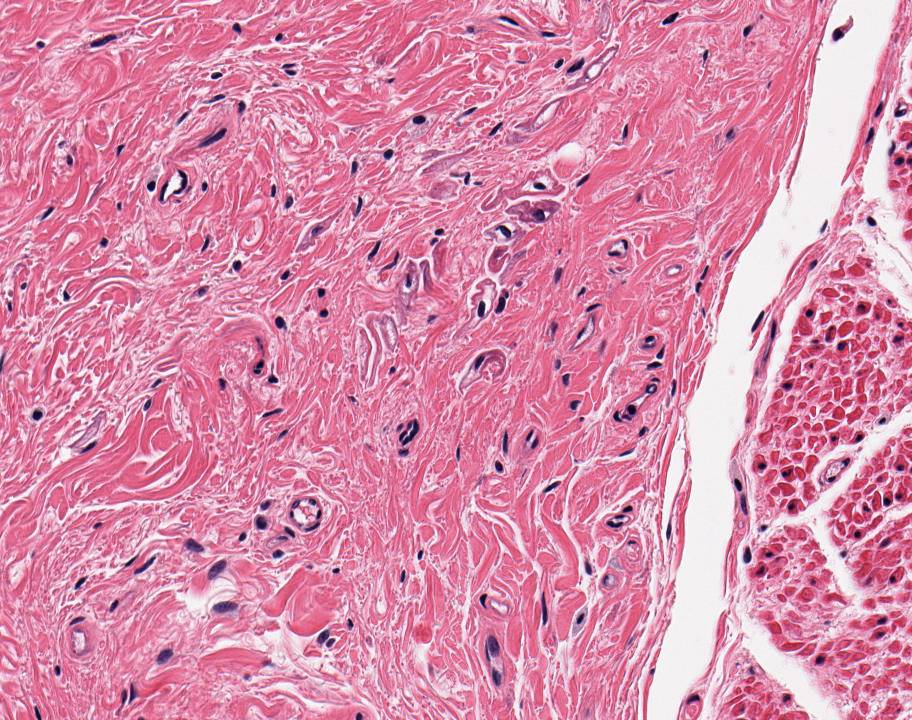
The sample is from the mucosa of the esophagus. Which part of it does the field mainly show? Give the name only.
loose connective tissue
